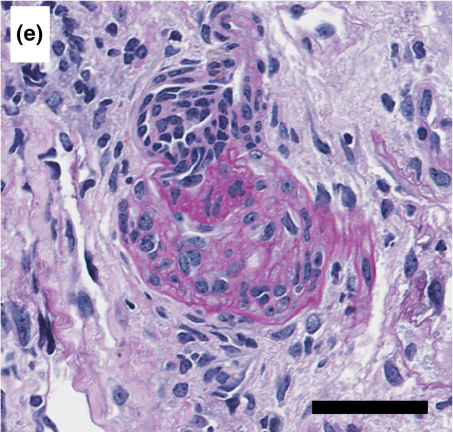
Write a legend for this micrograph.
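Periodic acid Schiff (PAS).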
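This glomerulus is almost wholly sclerosed, its tuft collapsed into a compact mass. Dense magenta material fills much of the tuft, and hardly any open capillary loops remain. Dark nuclei are crowded within and around the mass, some at its edge forming a cap-like cluster. The surrounding tissue is pale and fibrous, with many elongated, spindle-shaped nuclei, and no normal tubules lie right beside it.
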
